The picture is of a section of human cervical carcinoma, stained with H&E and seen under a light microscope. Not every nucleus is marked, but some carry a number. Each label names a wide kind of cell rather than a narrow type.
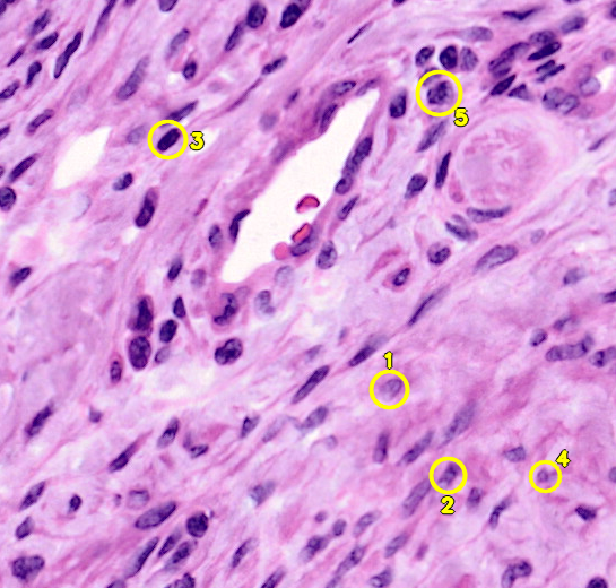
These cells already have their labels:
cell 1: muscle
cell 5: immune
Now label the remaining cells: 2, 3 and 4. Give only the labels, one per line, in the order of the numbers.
muscle
immune
muscle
